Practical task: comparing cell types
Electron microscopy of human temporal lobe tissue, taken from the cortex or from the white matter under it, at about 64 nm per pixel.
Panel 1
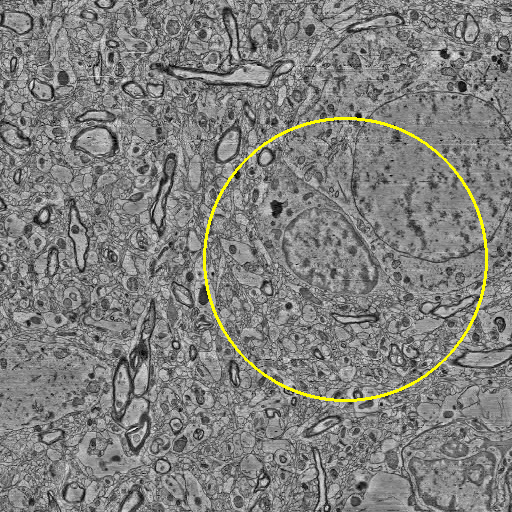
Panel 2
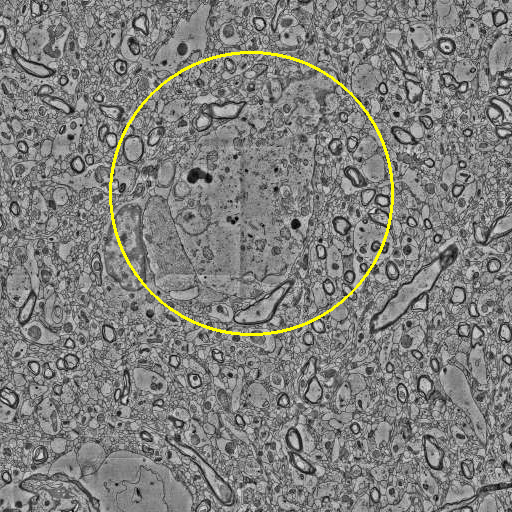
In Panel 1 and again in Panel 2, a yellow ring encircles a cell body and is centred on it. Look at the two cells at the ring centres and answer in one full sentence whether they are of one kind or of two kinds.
The two cells sitting at the ring centres of Panels 1 and 2 are of two kinds.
